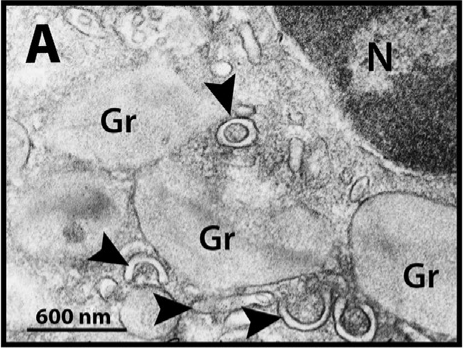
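Part of the cytoplasm of an eosinophil seen by transmission electron microscopy, showing large secretory granules and small tubular vesicles around them. Several large rounded granules with pale, finely textured, partly emptied-looking contents fill much of the field. A dense, dark nucleus lies at the upper right. Between and against the granules lie small membrane profiles that appear as rings, C-shapes and folded curves; arrowheads point to these. They cluster along the edges of the granules, some seeming to touch them.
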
